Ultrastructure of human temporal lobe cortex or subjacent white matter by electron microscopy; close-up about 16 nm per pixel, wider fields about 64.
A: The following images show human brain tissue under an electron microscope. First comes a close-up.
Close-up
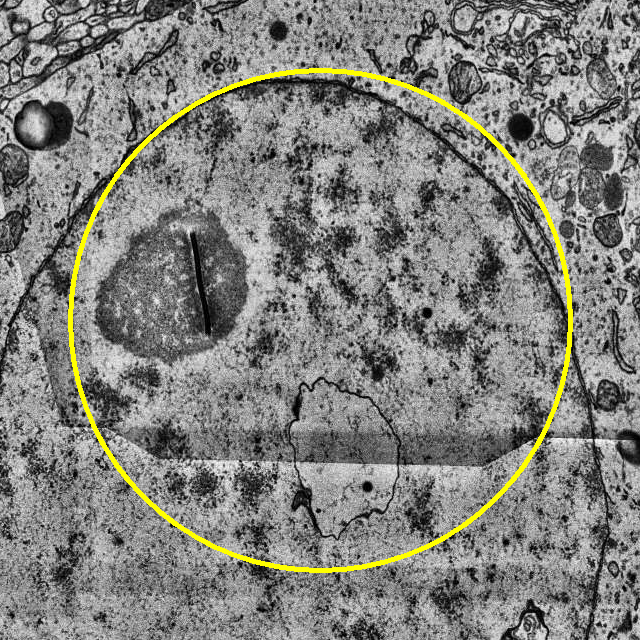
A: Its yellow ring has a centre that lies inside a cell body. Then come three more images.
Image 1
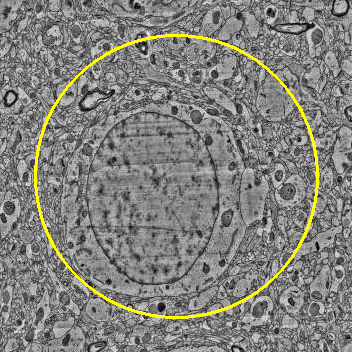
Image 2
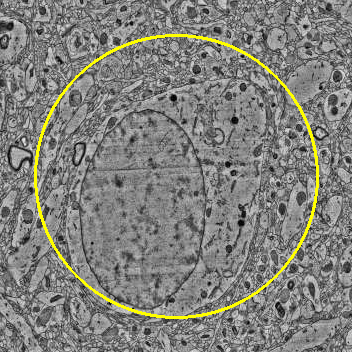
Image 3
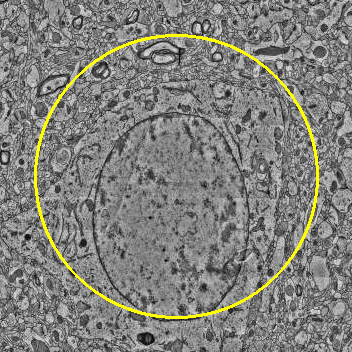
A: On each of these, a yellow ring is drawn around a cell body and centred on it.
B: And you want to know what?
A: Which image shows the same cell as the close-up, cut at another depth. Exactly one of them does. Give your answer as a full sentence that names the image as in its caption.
The same cell appears ringed in Image 3 and enlarged in the close-up.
